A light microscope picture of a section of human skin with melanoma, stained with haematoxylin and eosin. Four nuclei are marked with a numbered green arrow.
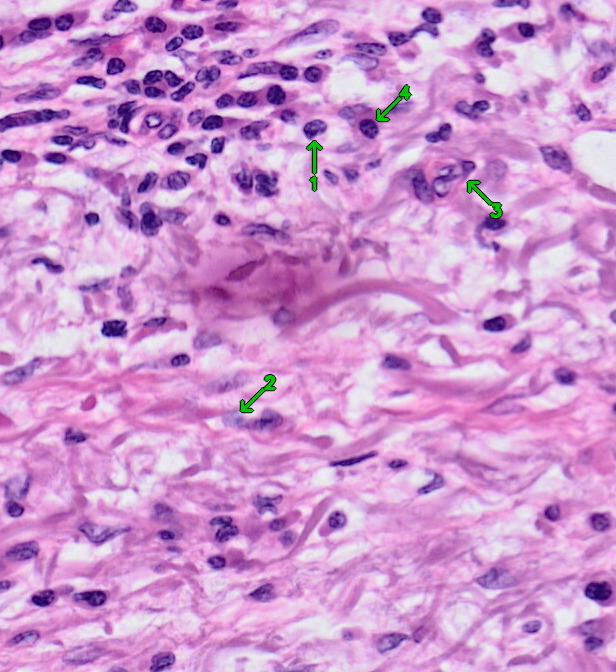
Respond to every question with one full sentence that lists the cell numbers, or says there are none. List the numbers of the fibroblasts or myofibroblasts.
Cell 2 is a fibroblast or myofibroblast, and this holds for no other numbered cell.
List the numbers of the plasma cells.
Cell 4 is a plasma cell, while every other numbered cell is not.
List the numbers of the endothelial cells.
Only the cell carrying number 3 is an endothelial cell.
